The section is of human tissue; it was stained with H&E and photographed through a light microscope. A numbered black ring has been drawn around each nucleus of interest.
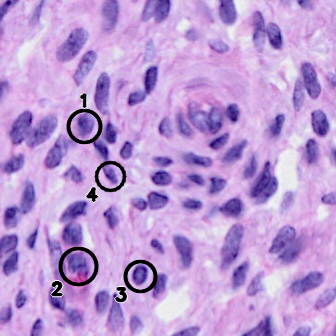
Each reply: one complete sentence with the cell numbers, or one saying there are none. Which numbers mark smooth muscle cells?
No numbered nucleus belongs to one of the smooth muscle cells.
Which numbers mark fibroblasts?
Regarding the numbered cells 1, 3 and 4, these are fibroblasts.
